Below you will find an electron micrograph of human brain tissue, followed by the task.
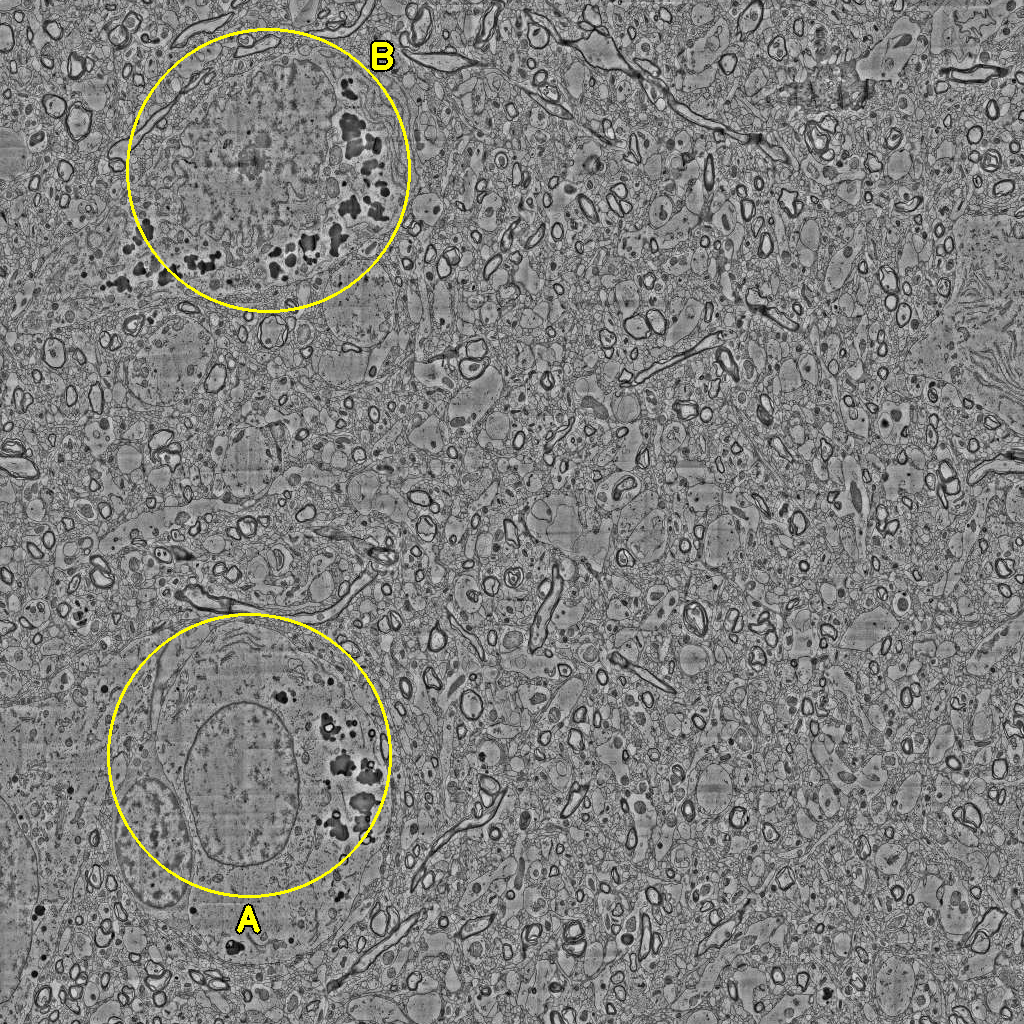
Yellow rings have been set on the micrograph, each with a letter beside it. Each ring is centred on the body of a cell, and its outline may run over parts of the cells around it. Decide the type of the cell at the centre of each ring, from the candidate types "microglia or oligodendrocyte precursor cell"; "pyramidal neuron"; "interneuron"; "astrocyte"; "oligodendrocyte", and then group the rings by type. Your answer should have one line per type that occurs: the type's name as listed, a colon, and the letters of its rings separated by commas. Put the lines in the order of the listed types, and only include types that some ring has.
pyramidal neuron: A
interneuron: B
